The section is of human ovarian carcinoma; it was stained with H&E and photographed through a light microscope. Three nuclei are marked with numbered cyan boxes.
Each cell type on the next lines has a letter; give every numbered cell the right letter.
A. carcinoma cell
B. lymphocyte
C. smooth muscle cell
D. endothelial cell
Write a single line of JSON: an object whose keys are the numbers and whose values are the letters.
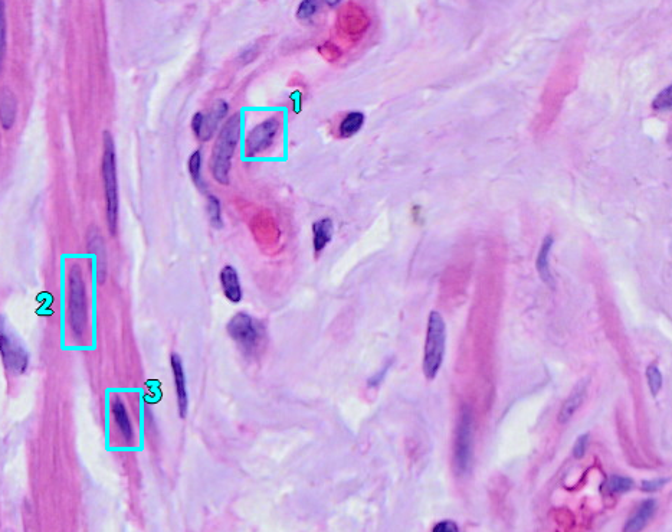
{"1": "D", "2": "C", "3": "C"}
